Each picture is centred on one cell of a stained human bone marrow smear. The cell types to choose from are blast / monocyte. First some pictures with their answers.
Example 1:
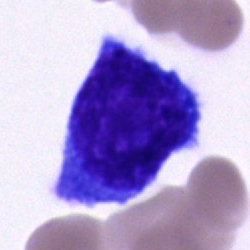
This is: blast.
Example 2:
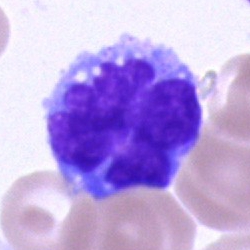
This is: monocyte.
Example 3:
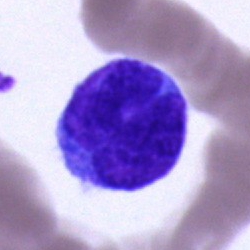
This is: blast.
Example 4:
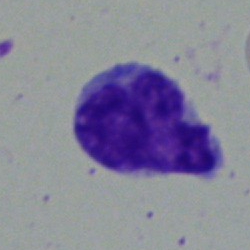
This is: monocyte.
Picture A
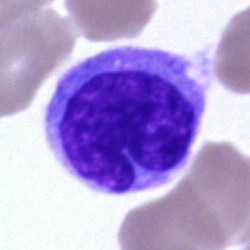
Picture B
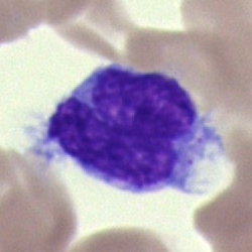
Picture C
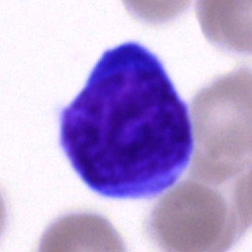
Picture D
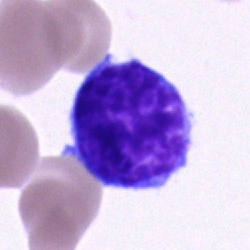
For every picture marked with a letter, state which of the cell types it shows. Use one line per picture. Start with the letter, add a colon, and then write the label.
A: monocyte.
B: monocyte.
C: blast.
D: blast.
